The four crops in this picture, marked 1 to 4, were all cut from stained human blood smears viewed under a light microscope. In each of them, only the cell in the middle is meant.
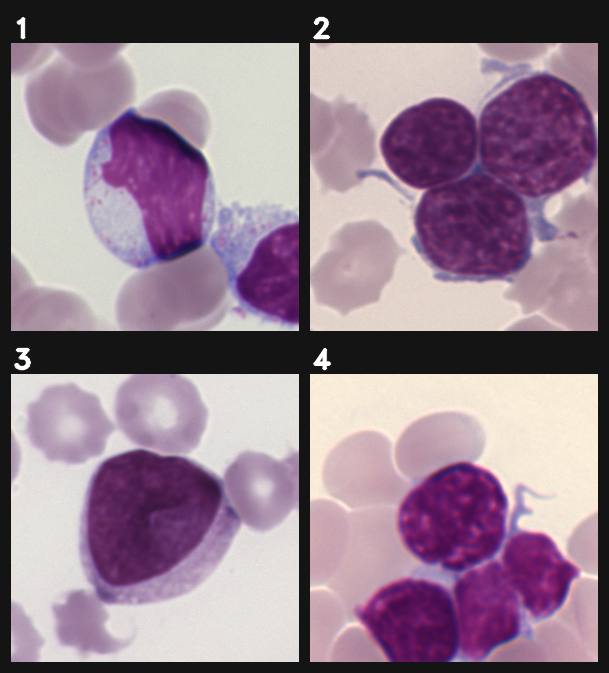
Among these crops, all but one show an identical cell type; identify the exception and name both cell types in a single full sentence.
The cells centred in the other crops are all blasts, but crop 1 is a large granular lymphocyte.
